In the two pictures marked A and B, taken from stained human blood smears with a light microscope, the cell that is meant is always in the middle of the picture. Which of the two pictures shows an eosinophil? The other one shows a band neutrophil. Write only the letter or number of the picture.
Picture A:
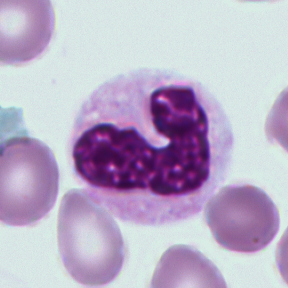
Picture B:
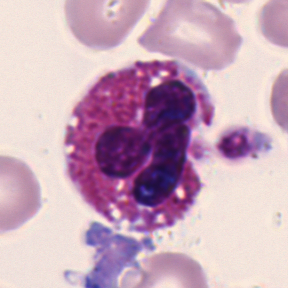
B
